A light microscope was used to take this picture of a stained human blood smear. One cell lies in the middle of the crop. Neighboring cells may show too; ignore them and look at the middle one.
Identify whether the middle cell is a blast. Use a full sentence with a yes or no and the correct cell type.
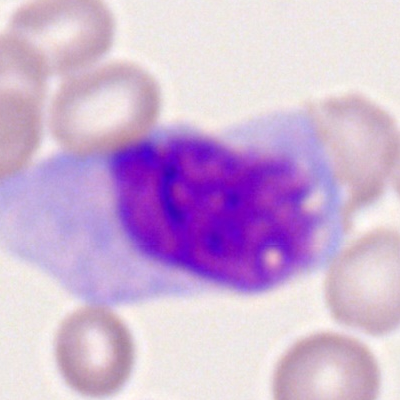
No, sorry, the middle cell is a monocyte rather than a blast.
